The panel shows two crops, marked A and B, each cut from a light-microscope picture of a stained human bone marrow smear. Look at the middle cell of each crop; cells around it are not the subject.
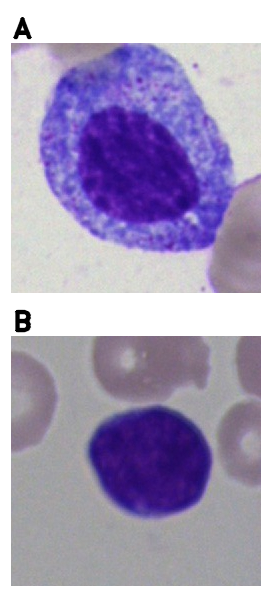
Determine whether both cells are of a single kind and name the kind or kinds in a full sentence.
No, cell A is a promyelocyte, and cell B is a blast.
